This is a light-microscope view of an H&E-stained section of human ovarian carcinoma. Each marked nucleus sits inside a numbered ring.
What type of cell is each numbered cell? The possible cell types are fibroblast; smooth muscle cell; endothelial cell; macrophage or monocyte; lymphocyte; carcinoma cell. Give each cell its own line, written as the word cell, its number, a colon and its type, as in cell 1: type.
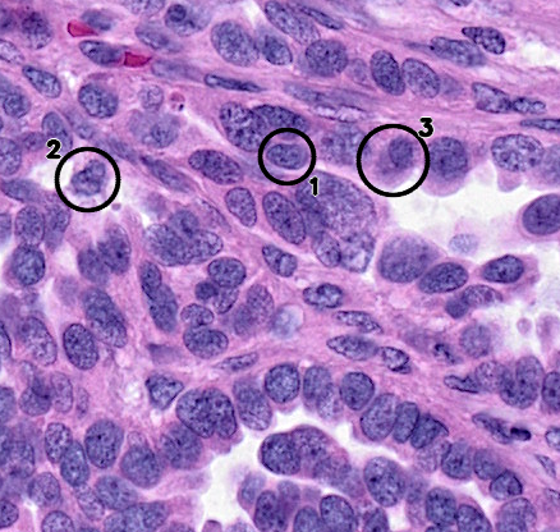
cell 1: carcinoma cell
cell 2: macrophage or monocyte
cell 3: carcinoma cell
